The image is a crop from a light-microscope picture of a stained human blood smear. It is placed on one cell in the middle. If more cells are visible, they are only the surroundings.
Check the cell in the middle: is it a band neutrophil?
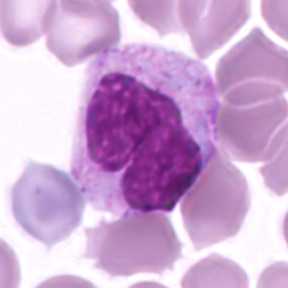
yes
